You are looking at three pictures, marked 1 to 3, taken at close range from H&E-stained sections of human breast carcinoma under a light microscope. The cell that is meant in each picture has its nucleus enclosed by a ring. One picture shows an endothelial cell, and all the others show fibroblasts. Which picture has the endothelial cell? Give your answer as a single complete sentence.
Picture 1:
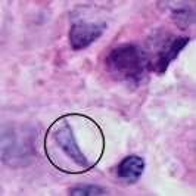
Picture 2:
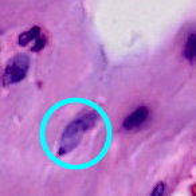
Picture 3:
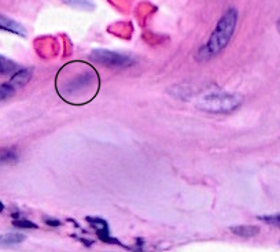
The picture with the endothelial cell is 3.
